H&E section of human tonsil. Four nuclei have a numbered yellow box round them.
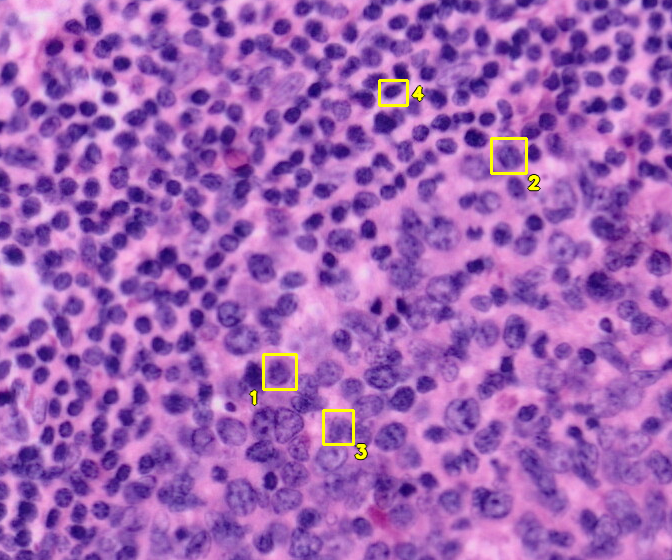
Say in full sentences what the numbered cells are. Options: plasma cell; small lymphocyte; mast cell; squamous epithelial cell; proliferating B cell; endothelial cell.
Cells 1, 2 and 3 are proliferating B cells. Cell 4 is a small lymphocyte.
